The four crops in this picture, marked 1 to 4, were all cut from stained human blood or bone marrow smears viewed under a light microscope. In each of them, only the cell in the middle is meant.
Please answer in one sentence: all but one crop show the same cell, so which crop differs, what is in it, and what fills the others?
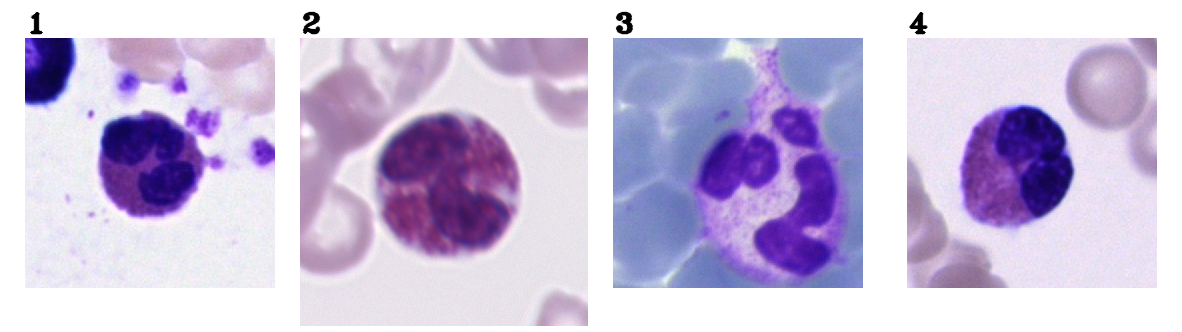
Crop 3 is the exception in this set, showing a segmented neutrophil while the others show eosinophils.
